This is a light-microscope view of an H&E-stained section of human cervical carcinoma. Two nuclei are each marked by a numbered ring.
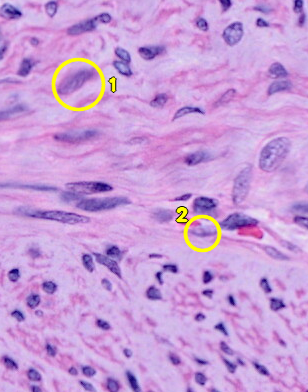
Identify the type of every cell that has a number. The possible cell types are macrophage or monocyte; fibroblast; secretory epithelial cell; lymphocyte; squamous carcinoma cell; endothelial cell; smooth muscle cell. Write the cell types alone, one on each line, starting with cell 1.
smooth muscle cell
endothelial cell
